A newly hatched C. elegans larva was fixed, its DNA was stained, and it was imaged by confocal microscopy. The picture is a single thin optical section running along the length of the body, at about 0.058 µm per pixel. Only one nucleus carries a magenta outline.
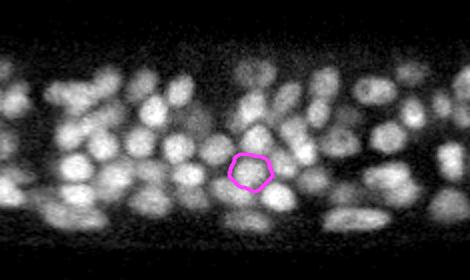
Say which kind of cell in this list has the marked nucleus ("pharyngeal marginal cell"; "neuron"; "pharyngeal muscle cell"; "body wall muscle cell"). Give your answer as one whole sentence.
It belongs to a neuron.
